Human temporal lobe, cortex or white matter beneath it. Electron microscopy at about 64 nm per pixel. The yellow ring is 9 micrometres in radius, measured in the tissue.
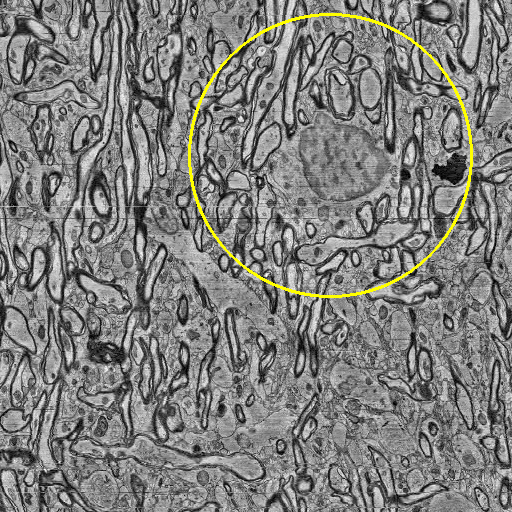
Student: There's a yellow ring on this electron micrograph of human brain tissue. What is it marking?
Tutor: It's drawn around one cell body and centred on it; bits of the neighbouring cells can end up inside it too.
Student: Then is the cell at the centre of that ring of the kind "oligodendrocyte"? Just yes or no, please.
yes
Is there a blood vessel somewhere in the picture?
No, there is none.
